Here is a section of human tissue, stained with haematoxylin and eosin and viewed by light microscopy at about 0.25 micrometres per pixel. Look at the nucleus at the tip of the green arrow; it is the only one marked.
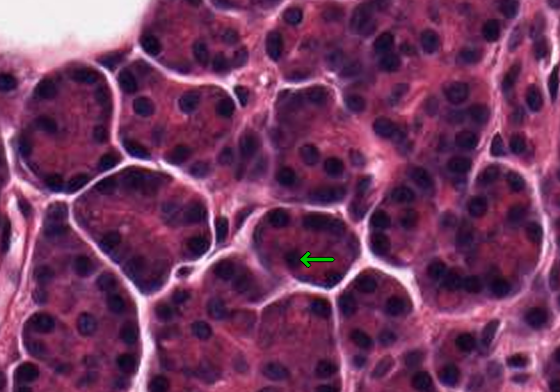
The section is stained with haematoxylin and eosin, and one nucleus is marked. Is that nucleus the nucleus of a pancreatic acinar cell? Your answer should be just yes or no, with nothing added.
yes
